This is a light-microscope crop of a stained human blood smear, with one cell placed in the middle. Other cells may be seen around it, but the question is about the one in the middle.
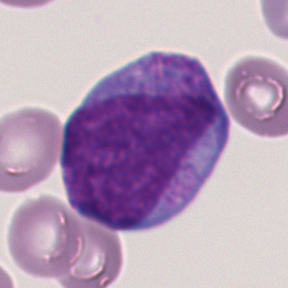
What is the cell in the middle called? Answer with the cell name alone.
atypical promyelocyte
